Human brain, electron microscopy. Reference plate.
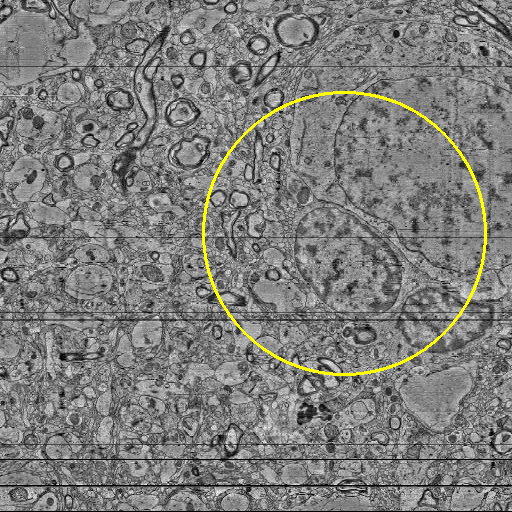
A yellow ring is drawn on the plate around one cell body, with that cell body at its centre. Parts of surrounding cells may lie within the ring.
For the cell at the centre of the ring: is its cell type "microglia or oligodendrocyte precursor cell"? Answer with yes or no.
No, its cell type is another one.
